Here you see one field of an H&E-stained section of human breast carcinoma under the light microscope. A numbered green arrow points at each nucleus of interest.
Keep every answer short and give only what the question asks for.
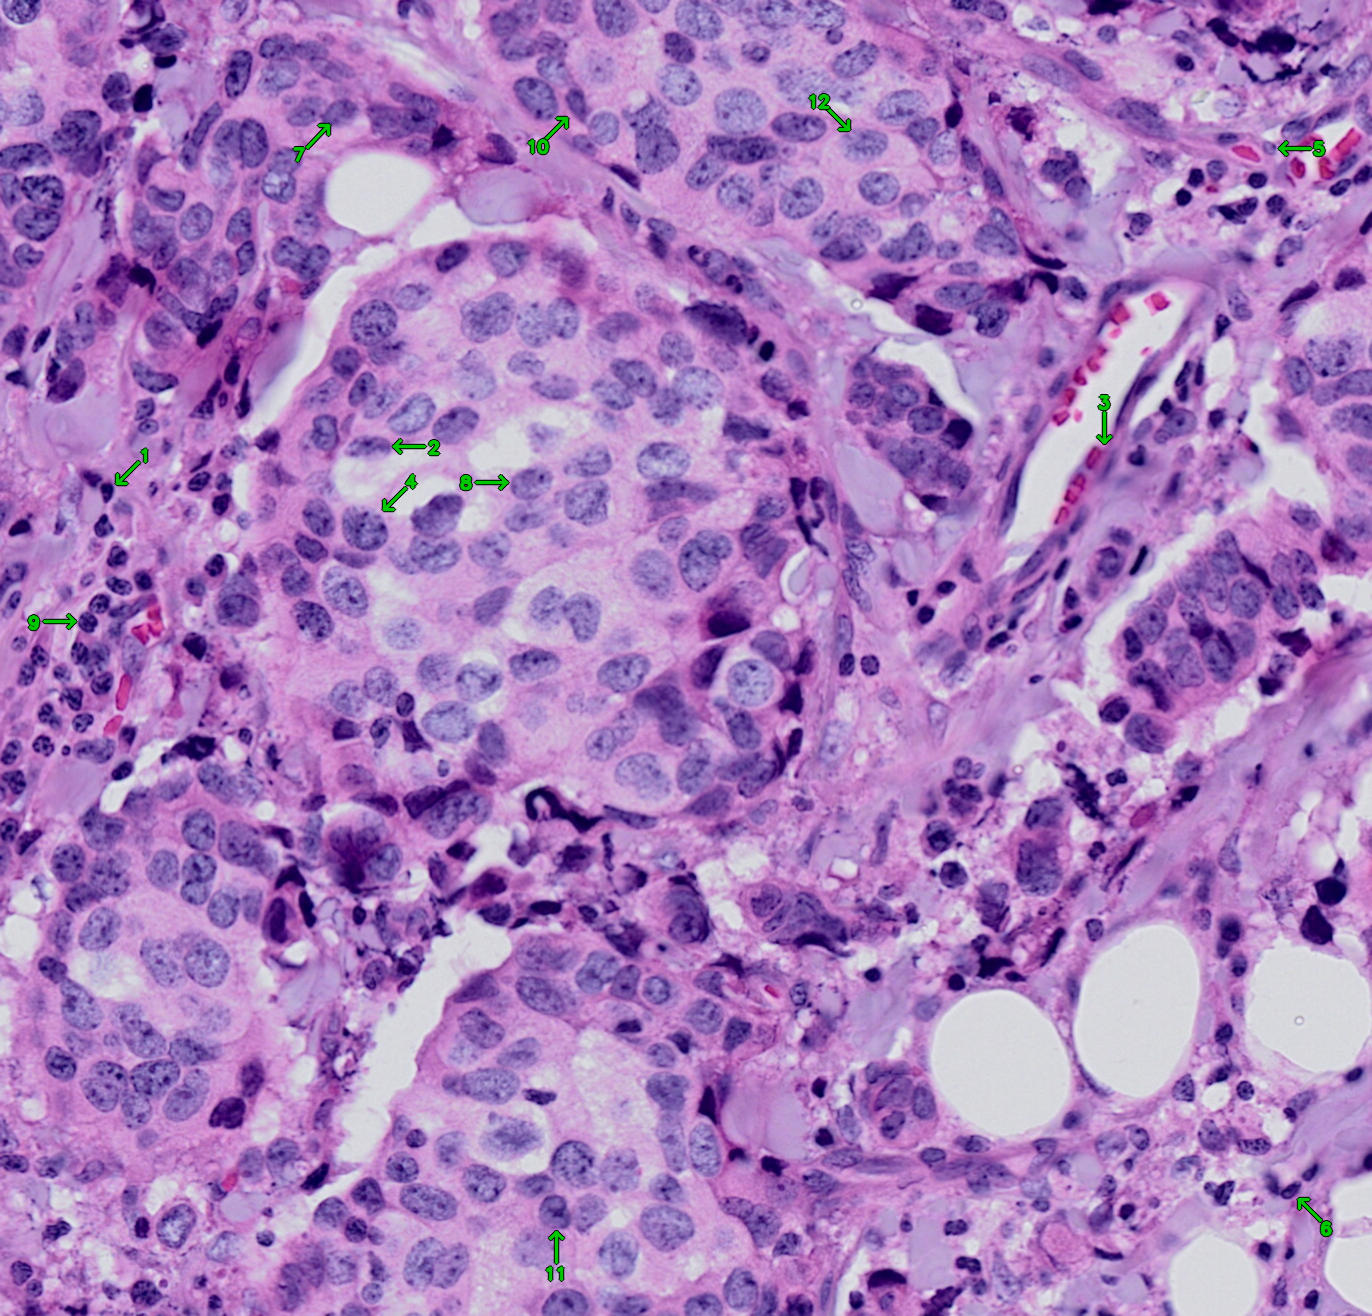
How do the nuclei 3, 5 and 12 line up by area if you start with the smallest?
5, 3, 12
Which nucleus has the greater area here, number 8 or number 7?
8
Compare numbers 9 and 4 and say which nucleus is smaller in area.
9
